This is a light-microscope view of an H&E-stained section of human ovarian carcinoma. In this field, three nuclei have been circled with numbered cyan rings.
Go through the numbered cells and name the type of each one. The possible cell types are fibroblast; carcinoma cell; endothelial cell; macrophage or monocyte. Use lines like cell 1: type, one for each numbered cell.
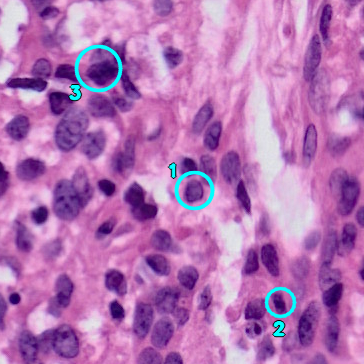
cell 1: macrophage or monocyte
cell 2: endothelial cell
cell 3: carcinoma cell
